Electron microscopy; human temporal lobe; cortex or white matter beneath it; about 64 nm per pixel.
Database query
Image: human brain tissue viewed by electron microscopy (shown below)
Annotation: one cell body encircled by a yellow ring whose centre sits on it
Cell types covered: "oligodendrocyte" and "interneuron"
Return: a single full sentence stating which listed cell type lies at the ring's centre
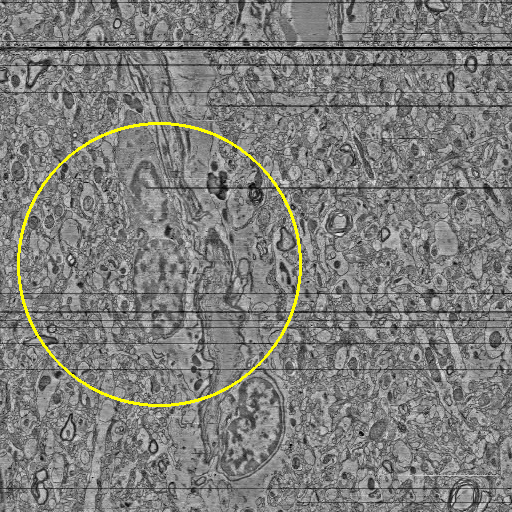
In the image, the cell lying at the ring's centre is an oligodendrocyte.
